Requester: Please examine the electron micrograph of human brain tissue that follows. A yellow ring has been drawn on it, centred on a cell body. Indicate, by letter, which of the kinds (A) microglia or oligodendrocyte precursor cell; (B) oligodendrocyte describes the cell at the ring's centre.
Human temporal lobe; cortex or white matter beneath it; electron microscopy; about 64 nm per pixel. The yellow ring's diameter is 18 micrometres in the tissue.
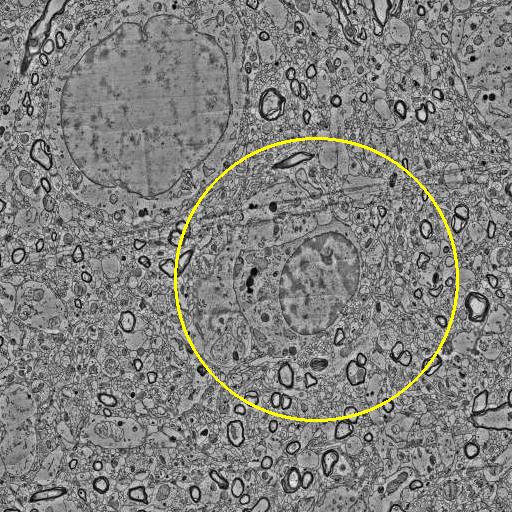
B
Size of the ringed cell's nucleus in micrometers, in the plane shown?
In this plane, the nucleus of the cell at the centre of the ring measures about 7 by 5 micrometres.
